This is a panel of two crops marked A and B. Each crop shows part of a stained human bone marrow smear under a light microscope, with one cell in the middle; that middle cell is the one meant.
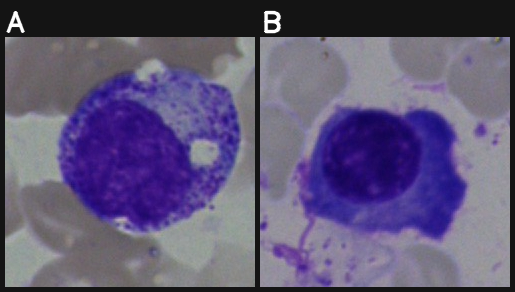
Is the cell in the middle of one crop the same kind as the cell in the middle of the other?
no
